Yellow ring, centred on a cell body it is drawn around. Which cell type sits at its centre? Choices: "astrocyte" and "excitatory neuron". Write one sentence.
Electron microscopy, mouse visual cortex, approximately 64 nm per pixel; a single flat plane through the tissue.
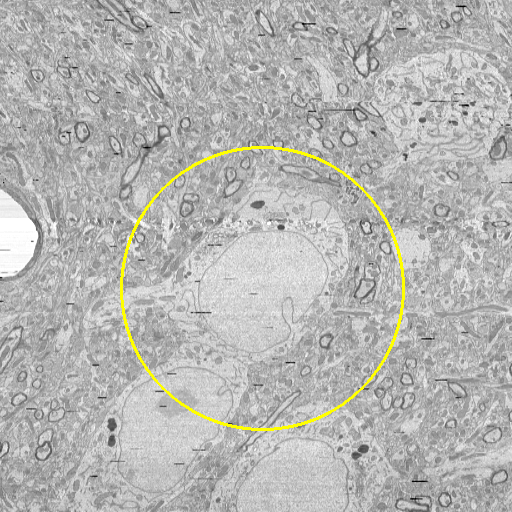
At the centre of the ring sits an excitatory neuron.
